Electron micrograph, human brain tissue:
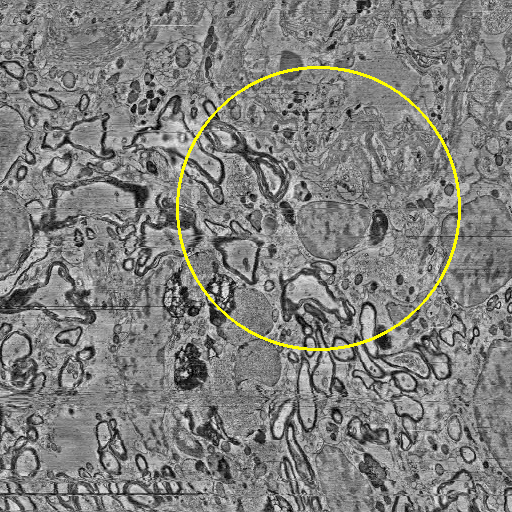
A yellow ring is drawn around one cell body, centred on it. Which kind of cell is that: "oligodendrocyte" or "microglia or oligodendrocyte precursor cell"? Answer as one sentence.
It is a microglial cell or oligodendrocyte precursor cell at the centre of the ring.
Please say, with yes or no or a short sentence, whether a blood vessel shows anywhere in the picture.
Yes, a vessel appears in the picture.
